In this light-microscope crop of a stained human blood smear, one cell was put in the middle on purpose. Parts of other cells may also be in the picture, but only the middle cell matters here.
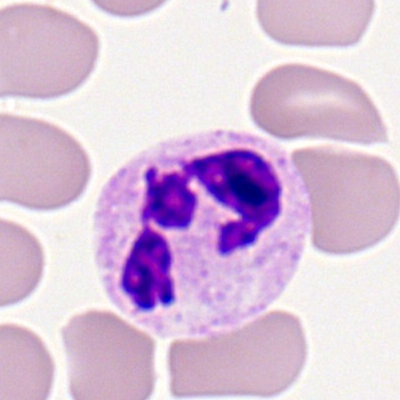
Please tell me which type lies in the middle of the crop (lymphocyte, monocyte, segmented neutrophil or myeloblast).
segmented neutrophil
